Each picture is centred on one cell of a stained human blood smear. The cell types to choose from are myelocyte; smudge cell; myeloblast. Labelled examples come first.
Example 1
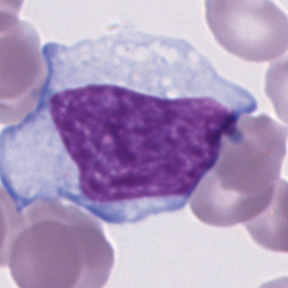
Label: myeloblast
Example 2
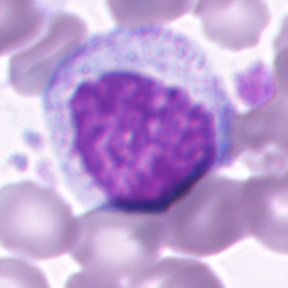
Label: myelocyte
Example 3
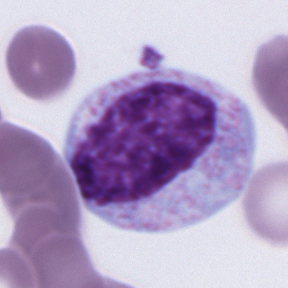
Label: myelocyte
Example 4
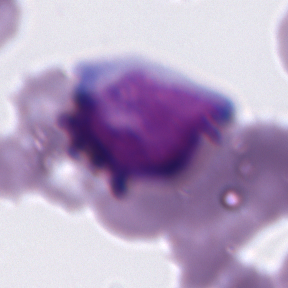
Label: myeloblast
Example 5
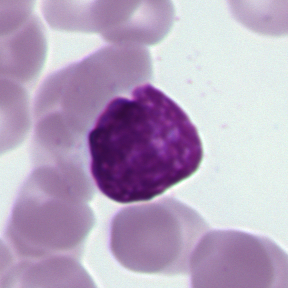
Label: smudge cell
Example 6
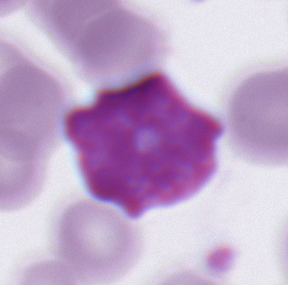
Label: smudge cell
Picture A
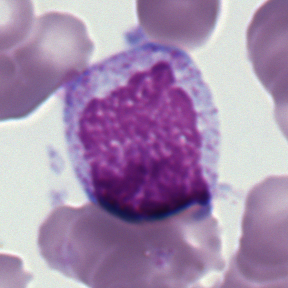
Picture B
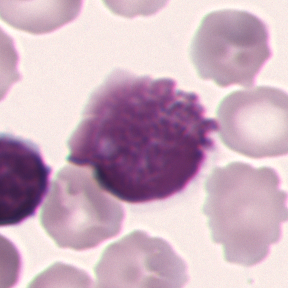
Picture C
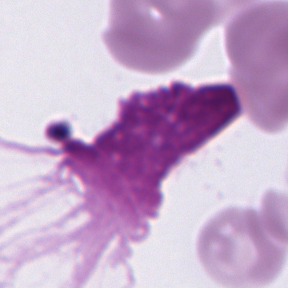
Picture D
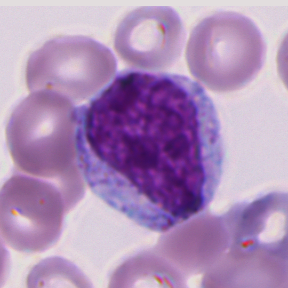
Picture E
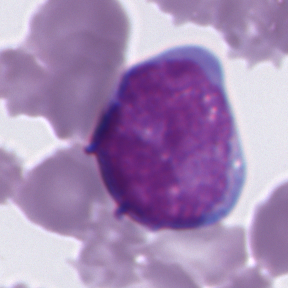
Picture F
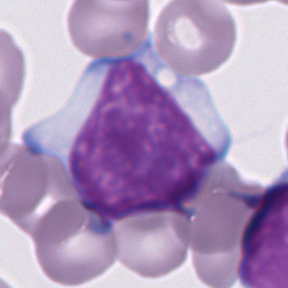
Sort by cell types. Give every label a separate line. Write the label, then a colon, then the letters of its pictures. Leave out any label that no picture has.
myelocyte: A, D
smudge cell: B, C
myeloblast: E, F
